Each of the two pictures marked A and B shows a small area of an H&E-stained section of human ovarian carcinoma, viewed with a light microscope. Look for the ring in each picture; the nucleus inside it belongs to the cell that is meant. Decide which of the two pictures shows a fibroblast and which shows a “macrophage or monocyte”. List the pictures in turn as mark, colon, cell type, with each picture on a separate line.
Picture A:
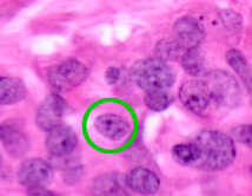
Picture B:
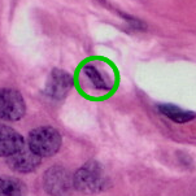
A: macrophage or monocyte
B: fibroblast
